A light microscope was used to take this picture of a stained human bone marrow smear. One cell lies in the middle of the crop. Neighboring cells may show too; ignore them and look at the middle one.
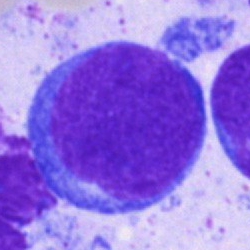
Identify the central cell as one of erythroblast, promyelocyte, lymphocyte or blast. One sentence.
This crop's central cell is a blast.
